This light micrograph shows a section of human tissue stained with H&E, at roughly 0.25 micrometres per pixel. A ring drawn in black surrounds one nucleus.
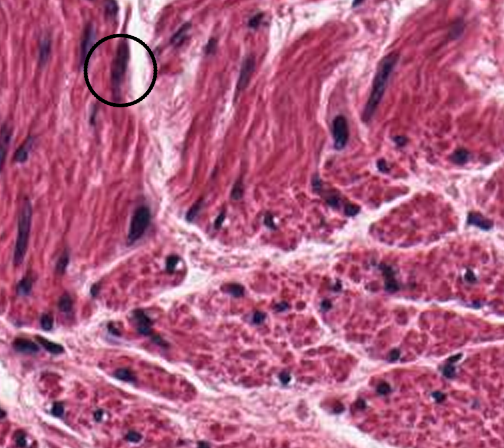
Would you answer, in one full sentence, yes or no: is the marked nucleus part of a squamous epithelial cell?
No, the marked nucleus is not contained in a squamous epithelial cell.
